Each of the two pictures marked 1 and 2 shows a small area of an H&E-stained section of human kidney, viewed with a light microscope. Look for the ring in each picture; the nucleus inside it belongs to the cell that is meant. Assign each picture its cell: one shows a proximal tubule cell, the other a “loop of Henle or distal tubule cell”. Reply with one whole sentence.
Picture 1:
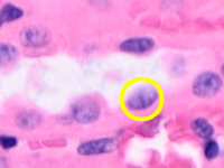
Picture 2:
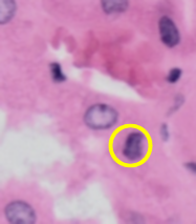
In picture 1 the cell is a “loop of Henle or distal tubule cell”; in picture 2, a proximal tubule cell.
